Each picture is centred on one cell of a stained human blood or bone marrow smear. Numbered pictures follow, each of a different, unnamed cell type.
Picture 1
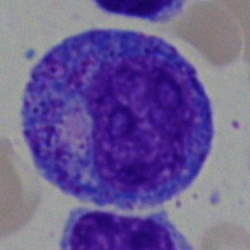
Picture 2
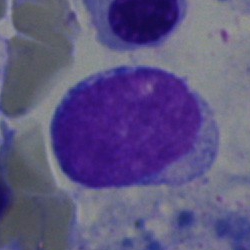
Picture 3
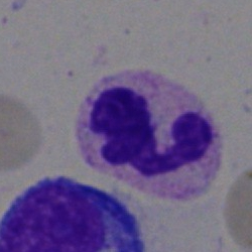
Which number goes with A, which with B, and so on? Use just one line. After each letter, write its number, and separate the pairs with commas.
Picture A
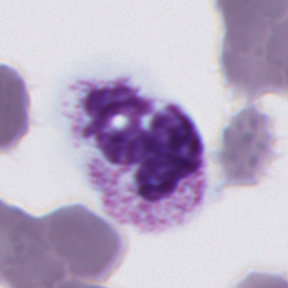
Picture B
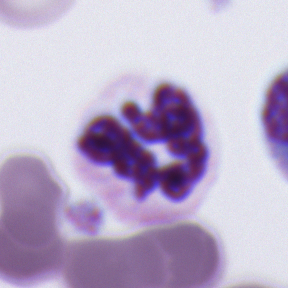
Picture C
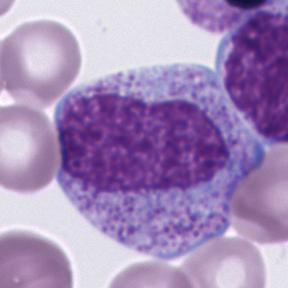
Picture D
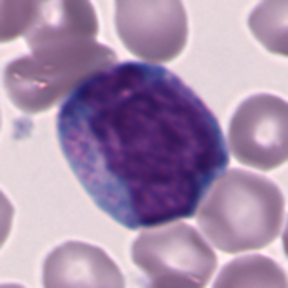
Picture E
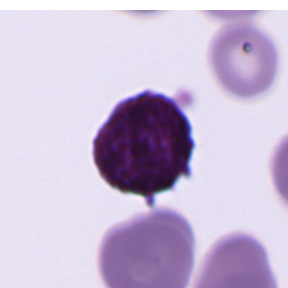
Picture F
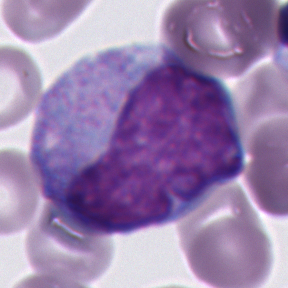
A 3, B 3, C 1, D 1, E 2, F 1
